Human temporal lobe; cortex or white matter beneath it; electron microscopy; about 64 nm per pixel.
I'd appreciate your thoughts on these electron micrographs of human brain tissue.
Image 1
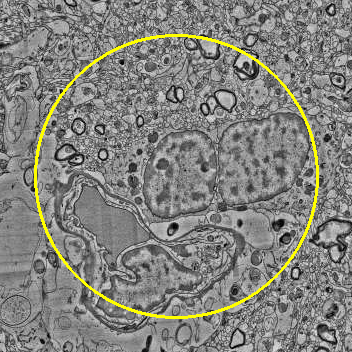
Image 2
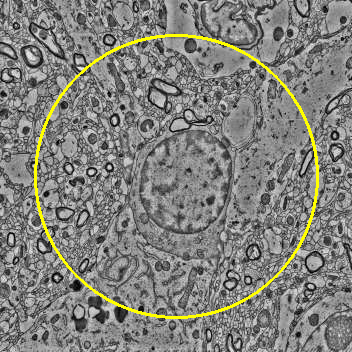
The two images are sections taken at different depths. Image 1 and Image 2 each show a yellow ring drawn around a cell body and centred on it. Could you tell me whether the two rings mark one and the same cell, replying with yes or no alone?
no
